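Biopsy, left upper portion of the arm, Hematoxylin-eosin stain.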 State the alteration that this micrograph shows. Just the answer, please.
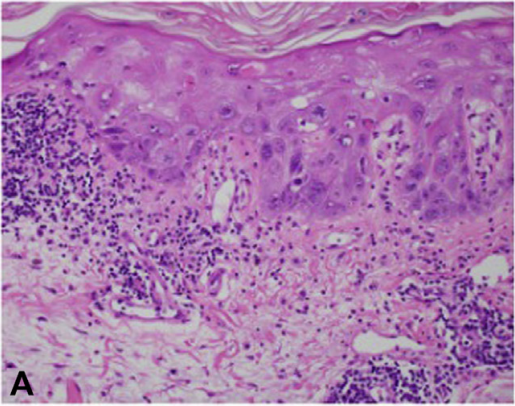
Dyskeratosis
